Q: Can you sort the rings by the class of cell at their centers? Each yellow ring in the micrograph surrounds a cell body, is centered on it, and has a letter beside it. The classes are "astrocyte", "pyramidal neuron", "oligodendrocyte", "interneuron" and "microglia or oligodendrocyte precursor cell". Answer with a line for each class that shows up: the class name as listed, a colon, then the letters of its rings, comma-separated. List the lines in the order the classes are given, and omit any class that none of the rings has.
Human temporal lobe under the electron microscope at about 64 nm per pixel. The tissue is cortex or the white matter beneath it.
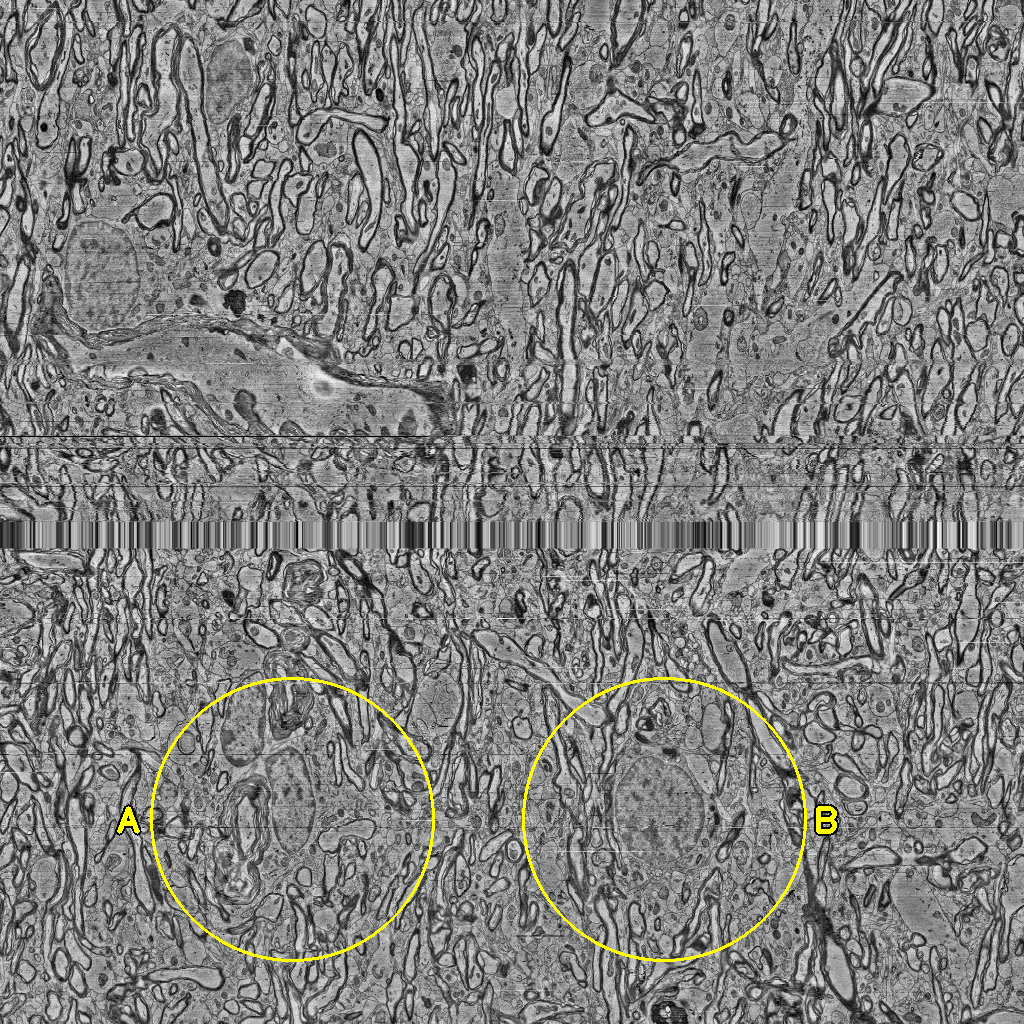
oligodendrocyte: B
microglia or oligodendrocyte precursor cell: A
